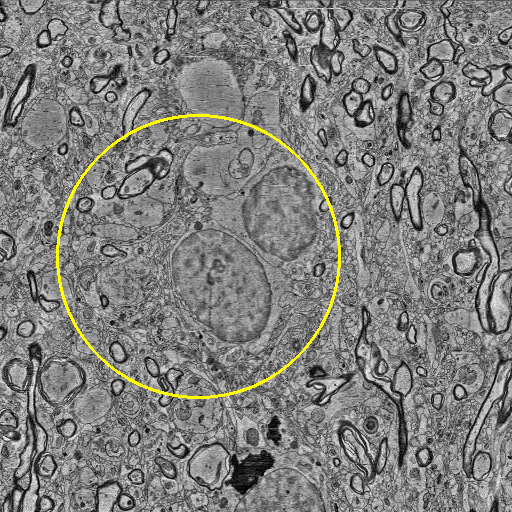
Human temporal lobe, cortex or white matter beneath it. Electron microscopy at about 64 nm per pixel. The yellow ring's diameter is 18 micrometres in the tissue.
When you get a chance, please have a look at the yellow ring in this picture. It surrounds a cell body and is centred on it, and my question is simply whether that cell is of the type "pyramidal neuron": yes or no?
No, the cell is of another type.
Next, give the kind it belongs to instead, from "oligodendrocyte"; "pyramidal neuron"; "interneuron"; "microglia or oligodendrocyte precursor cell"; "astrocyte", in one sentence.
The cell shown in the ring is an oligodendrocyte.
